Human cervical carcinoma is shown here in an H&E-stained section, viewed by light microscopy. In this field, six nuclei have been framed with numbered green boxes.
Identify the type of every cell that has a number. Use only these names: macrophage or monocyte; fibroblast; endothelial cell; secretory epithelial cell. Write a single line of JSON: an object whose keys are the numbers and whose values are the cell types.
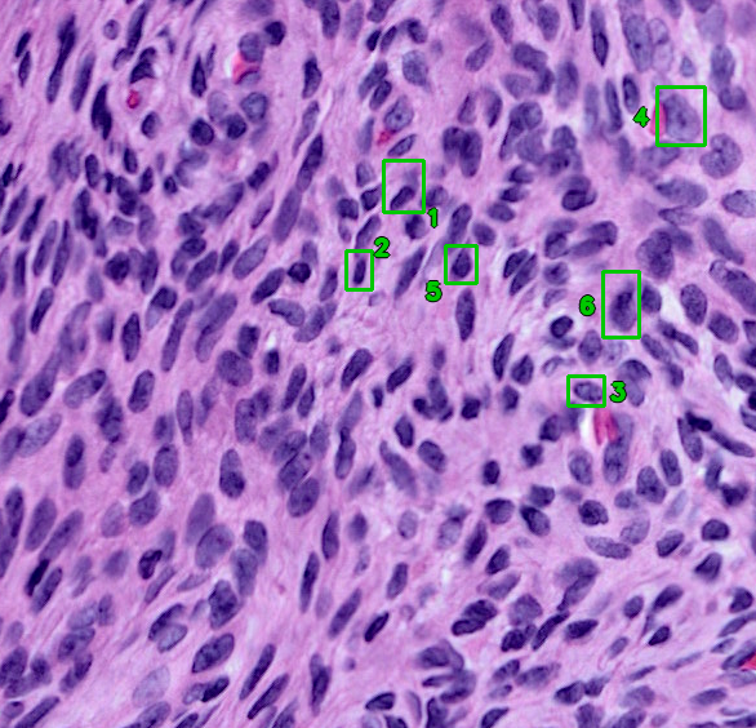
{"1": "fibroblast", "2": "fibroblast", "3": "endothelial cell", "4": "endothelial cell", "5": "fibroblast", "6": "fibroblast"}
